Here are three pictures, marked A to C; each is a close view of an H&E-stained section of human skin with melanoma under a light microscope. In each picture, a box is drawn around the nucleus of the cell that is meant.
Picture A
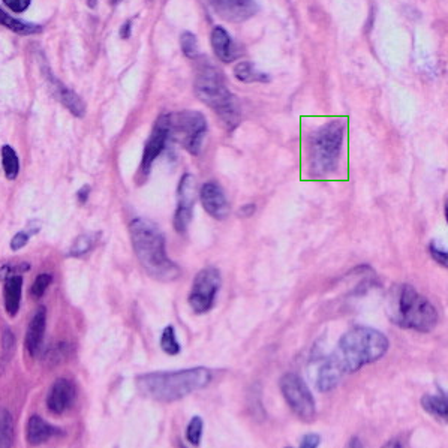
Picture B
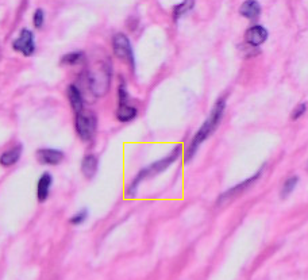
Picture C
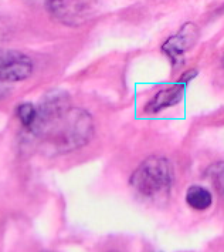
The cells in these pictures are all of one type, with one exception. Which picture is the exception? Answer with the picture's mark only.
C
